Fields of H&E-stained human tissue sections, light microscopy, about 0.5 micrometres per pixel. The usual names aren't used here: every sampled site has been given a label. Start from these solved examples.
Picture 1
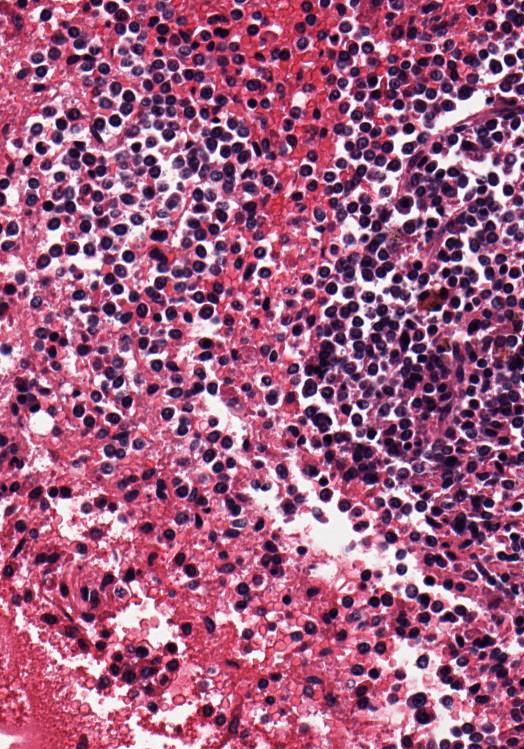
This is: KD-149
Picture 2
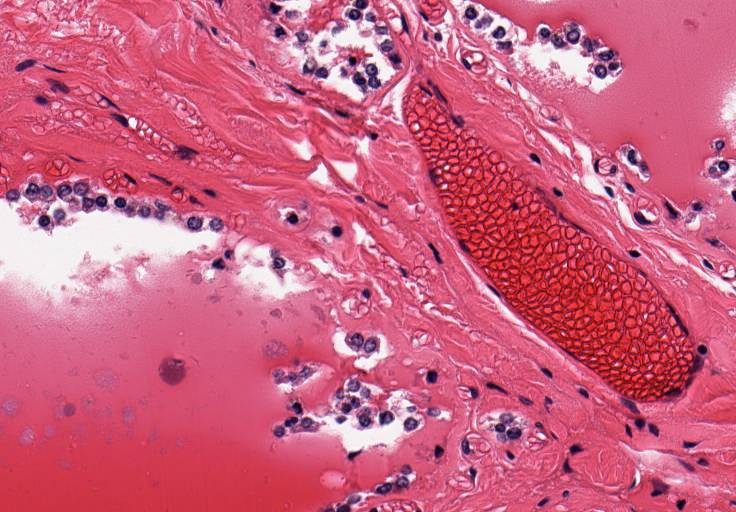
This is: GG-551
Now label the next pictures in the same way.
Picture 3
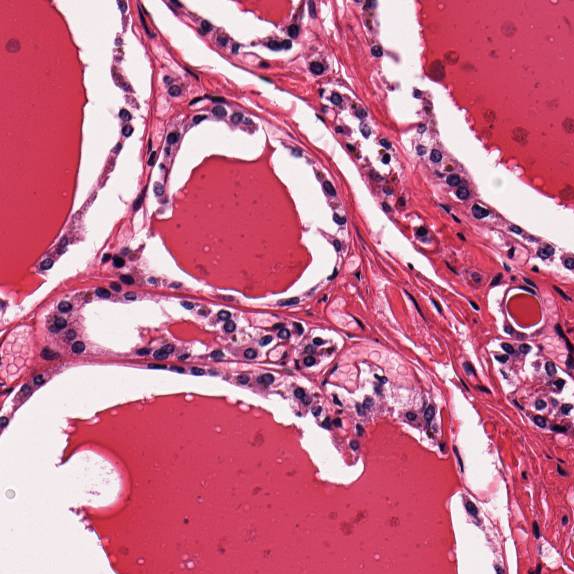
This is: GG-551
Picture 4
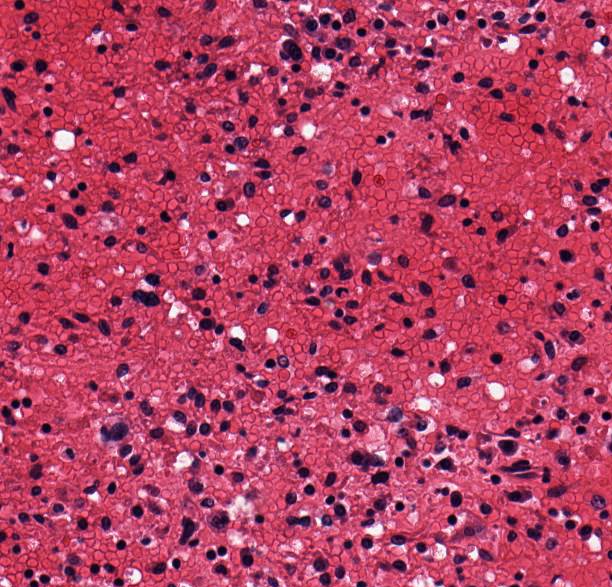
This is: KD-149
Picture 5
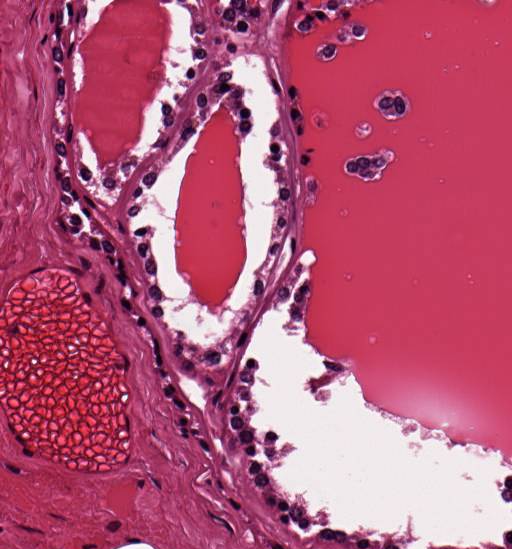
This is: GG-551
